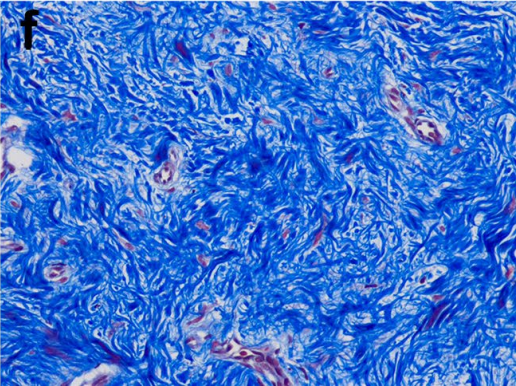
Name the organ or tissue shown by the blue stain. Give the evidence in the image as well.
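Blue-stained fibres fill almost the whole field. Only small vessel walls and scattered nuclei stand out in red to purple.
Answer: excessive collagenous tissue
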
